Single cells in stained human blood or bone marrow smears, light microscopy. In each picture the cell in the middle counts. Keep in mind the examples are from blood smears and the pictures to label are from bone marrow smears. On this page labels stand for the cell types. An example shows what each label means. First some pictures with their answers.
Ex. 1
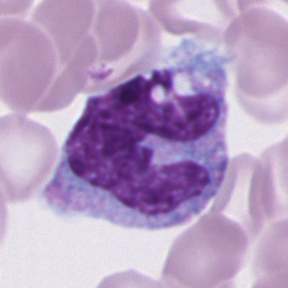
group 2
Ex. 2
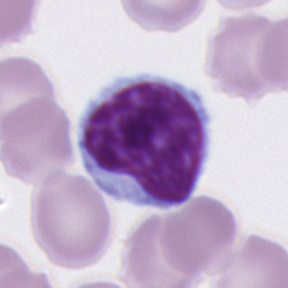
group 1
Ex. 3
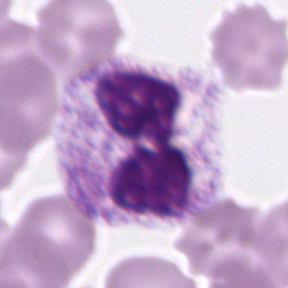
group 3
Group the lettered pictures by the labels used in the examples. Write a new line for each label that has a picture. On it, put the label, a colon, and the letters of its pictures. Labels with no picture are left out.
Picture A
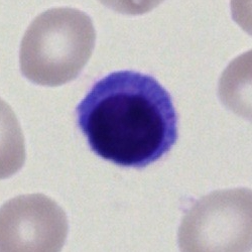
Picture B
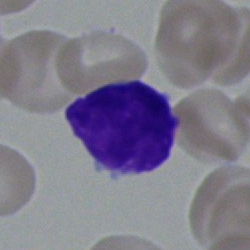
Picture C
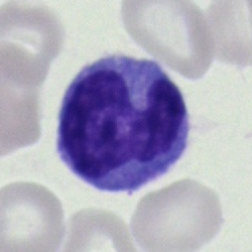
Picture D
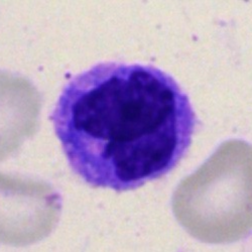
group 2: C, D
group 1: A, B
